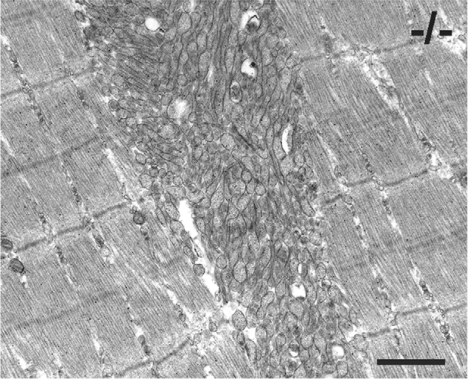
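This electron micrograph shows a skeletal muscle fibre cut lengthwise, with myofibrils showing regularly repeating sarcomeres bounded by dark transverse lines. On either side of the band the sarcomeres keep their normal banded pattern.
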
